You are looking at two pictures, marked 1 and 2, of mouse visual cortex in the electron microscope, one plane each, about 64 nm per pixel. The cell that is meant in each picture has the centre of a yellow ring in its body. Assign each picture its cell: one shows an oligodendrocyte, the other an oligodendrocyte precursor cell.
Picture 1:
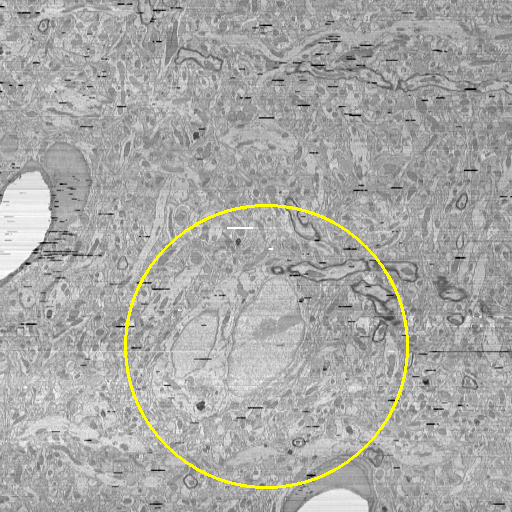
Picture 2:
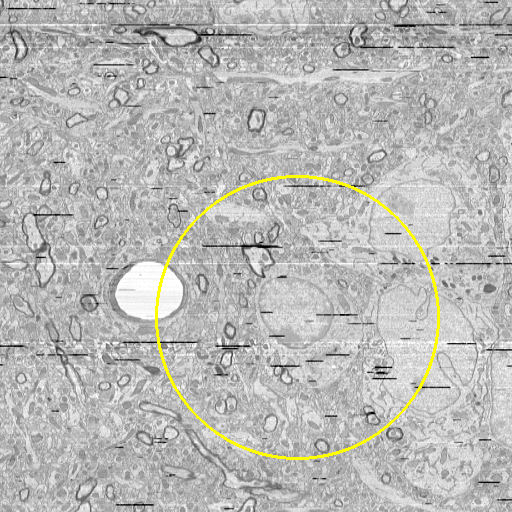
It is picture 1 that shows an oligodendrocyte precursor cell, and picture 2 that shows an oligodendrocyte.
